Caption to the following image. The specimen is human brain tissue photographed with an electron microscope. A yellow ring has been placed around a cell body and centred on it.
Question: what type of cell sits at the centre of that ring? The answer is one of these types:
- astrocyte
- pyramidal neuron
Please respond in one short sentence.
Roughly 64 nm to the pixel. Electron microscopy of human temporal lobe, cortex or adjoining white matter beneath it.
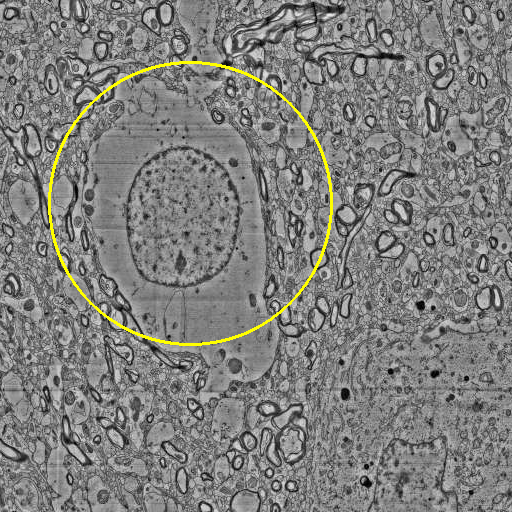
The ring surrounds the cell body of an astrocyte.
